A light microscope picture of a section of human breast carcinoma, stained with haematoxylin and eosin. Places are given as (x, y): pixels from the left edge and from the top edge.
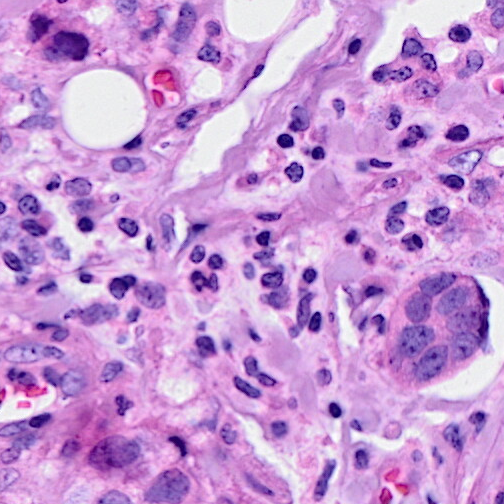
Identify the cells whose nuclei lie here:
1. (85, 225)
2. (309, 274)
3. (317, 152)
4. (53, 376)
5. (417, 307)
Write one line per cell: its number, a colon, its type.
1: lymphocyte
2: lymphocyte
3: lymphocyte
4: endothelial cell
5: carcinoma cell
